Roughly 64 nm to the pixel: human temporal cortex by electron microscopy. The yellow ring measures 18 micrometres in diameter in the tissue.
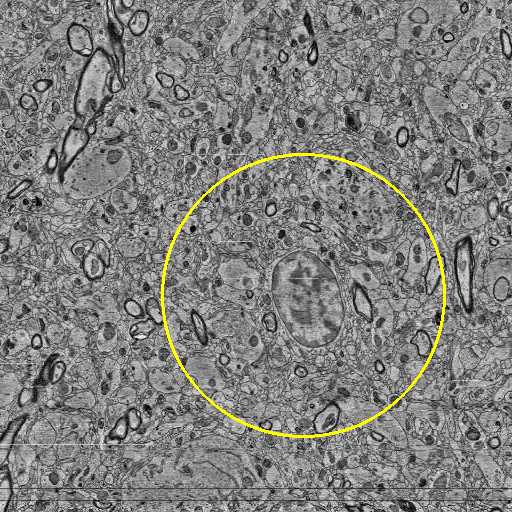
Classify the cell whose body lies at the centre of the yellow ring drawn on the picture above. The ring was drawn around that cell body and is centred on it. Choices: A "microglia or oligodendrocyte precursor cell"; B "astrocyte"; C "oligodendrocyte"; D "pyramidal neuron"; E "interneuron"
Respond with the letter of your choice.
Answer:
A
